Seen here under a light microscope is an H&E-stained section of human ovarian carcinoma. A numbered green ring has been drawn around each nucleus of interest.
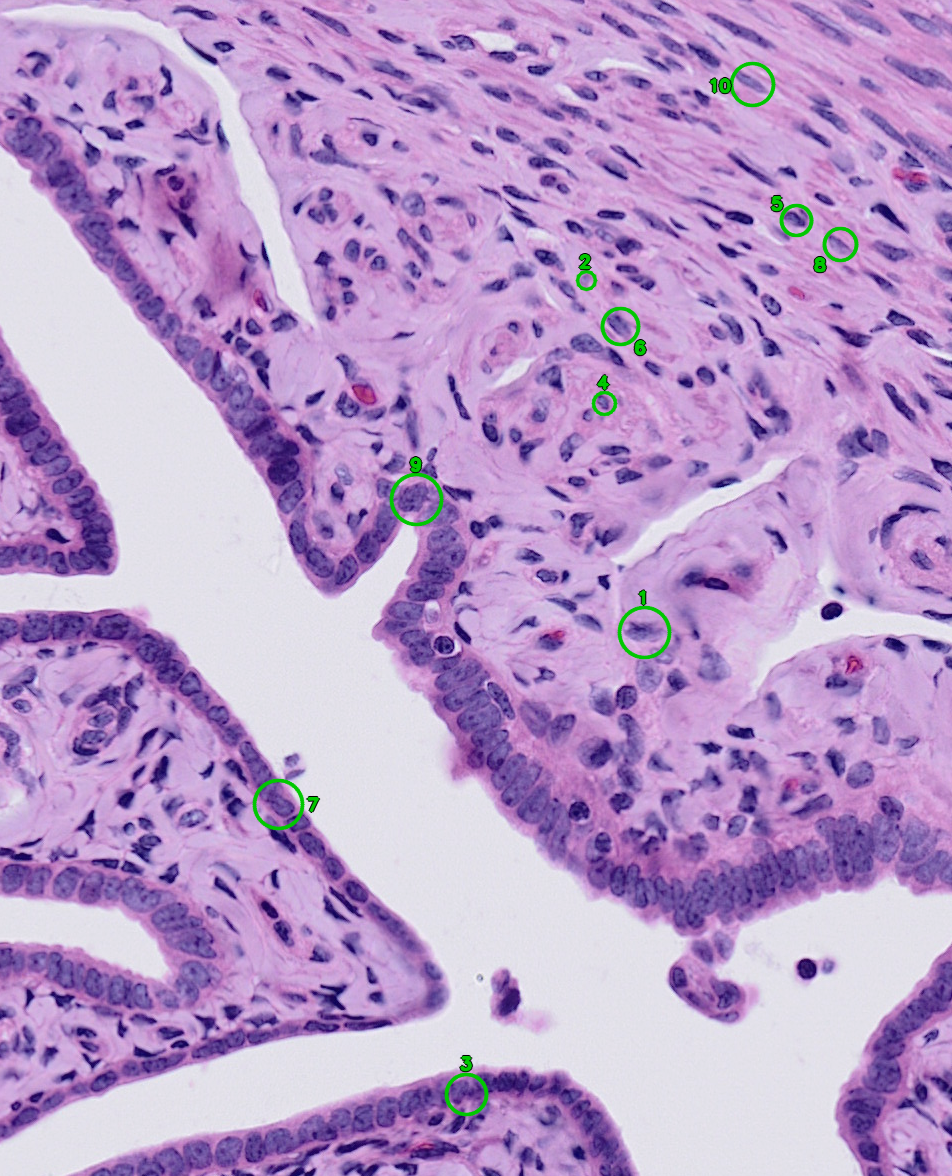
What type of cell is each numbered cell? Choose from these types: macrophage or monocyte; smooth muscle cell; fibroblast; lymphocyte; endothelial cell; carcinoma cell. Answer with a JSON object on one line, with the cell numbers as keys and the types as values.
{"1": "endothelial cell", "2": "smooth muscle cell", "3": "carcinoma cell", "4": "smooth muscle cell", "5": "smooth muscle cell", "6": "smooth muscle cell", "7": "carcinoma cell", "8": "smooth muscle cell", "9": "carcinoma cell", "10": "smooth muscle cell"}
